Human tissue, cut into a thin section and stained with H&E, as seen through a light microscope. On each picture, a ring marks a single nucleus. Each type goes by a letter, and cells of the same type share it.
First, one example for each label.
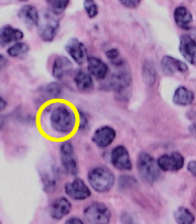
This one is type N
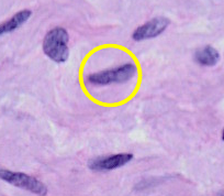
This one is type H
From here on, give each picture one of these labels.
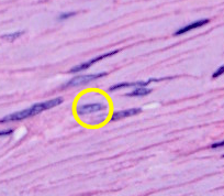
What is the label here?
type H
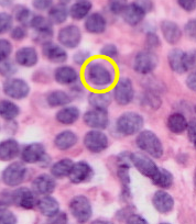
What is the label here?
type N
